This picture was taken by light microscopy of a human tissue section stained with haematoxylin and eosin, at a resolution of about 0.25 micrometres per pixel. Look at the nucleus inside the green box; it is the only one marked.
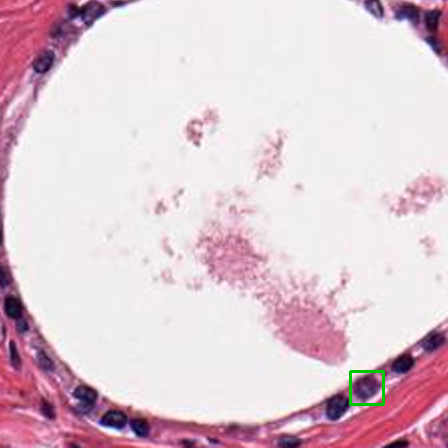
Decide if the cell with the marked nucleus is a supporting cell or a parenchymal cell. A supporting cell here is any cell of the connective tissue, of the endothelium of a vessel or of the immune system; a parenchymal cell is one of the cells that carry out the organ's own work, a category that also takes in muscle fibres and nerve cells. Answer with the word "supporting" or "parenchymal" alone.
parenchymal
